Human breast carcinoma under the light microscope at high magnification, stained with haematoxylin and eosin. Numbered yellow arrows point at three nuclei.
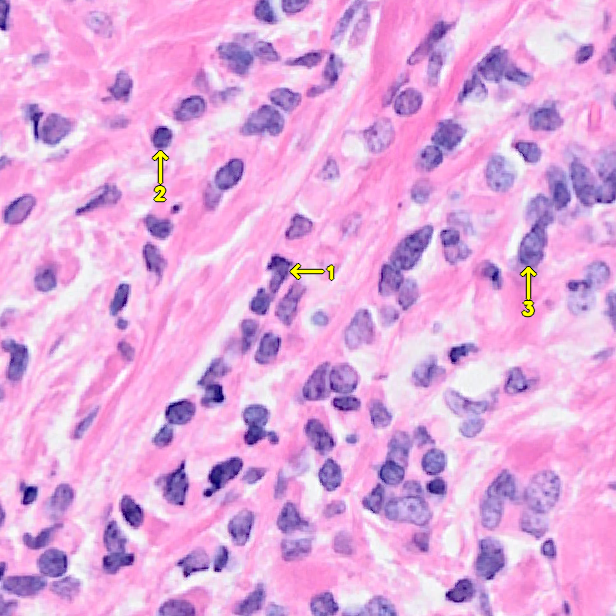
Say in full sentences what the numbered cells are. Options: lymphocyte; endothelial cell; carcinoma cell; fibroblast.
Cells 1 and 2 are lymphocytes. Cell 3 is a carcinoma cell.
